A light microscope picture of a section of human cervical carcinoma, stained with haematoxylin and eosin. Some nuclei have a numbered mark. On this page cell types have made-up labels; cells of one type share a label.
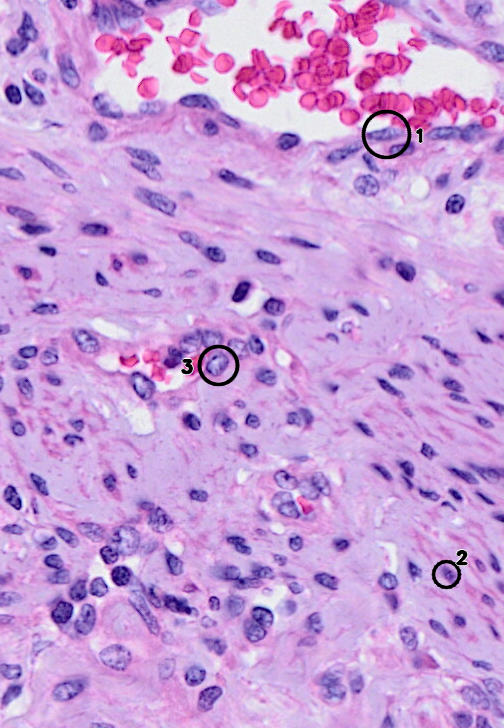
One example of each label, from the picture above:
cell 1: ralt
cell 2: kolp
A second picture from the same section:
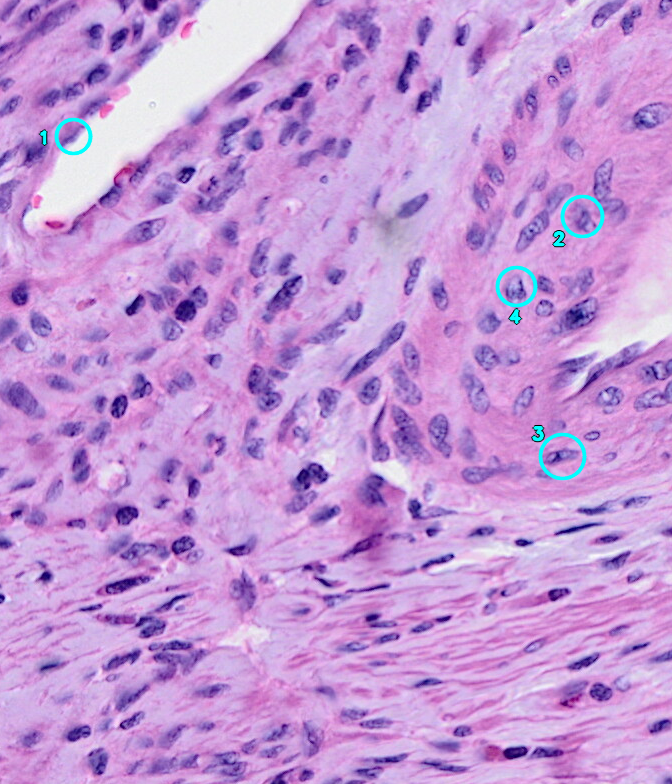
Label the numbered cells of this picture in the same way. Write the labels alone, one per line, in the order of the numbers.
ralt
kolp
kolp
kolp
